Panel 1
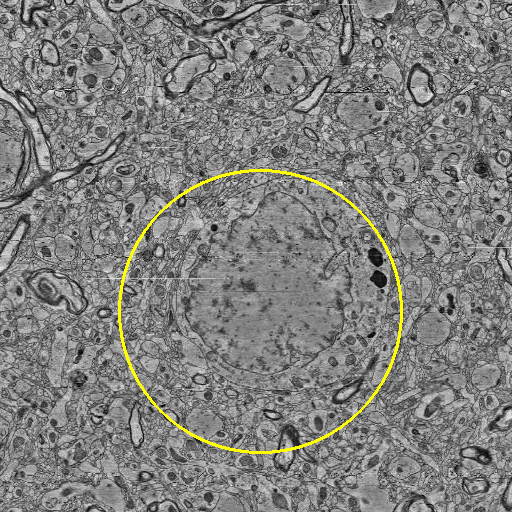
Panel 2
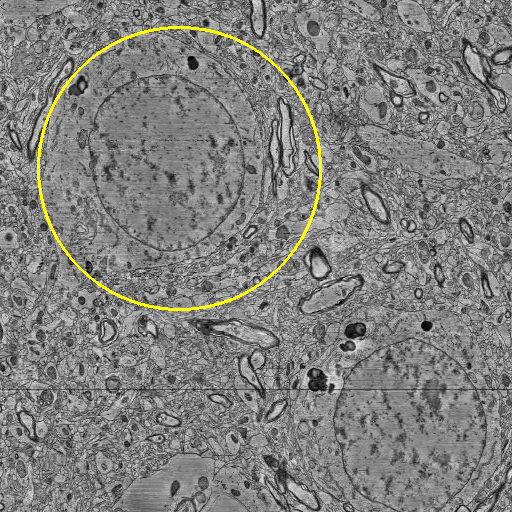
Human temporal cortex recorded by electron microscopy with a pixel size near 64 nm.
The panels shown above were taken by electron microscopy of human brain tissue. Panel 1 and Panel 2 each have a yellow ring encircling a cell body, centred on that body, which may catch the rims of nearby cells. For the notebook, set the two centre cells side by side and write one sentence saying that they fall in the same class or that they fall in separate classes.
The centred cells of Panel 1 and Panel 2 fall in the same class.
